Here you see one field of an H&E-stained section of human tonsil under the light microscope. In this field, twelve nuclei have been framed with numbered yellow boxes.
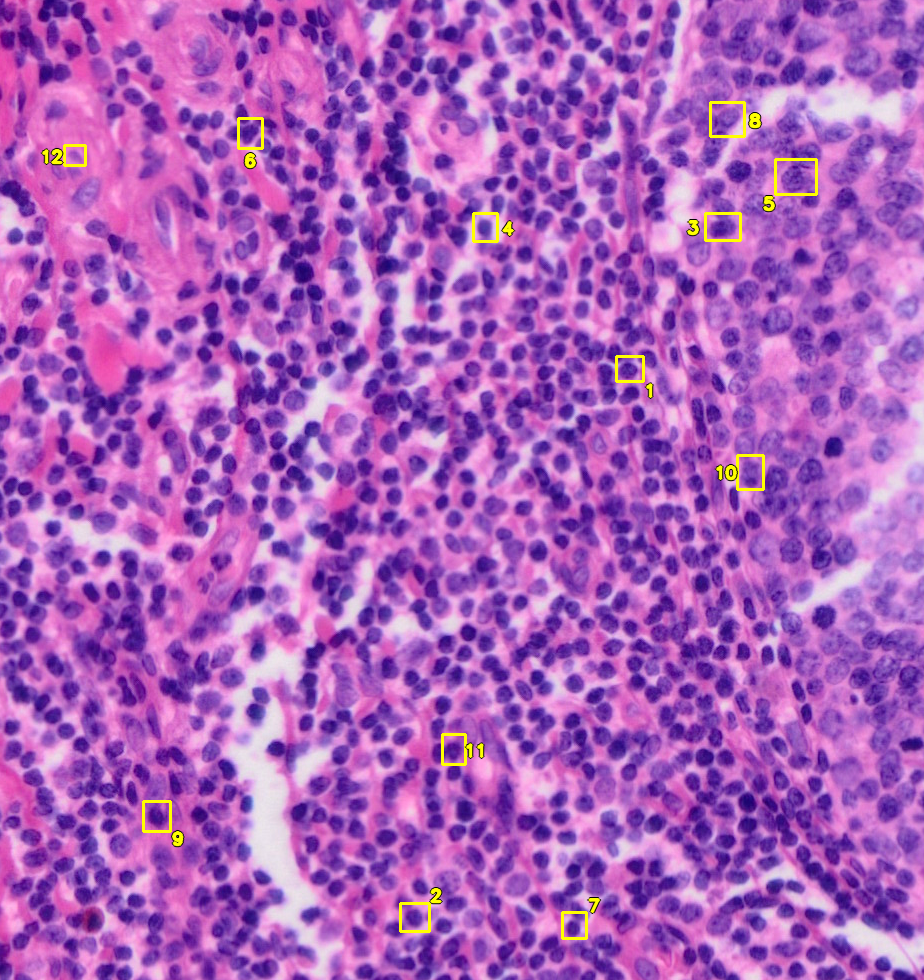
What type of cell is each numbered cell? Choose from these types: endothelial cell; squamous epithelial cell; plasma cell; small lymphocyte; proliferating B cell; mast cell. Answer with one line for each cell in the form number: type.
1: small lymphocyte
2: small lymphocyte
3: proliferating B cell
4: small lymphocyte
5: proliferating B cell
6: small lymphocyte
7: small lymphocyte
8: proliferating B cell
9: endothelial cell
10: proliferating B cell
11: endothelial cell
12: endothelial cell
